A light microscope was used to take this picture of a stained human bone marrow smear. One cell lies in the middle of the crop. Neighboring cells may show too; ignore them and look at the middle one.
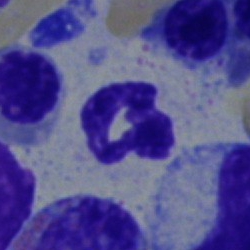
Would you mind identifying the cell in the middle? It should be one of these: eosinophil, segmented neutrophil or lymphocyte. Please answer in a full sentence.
The cell featured at the centre of this crop is a segmented neutrophil.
